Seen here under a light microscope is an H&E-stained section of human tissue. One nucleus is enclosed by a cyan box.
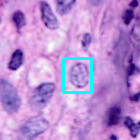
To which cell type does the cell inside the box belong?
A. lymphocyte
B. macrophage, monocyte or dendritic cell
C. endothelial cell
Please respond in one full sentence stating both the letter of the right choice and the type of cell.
Option B correctly labels the cell inside the box as a macrophage, monocyte or dendritic cell.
